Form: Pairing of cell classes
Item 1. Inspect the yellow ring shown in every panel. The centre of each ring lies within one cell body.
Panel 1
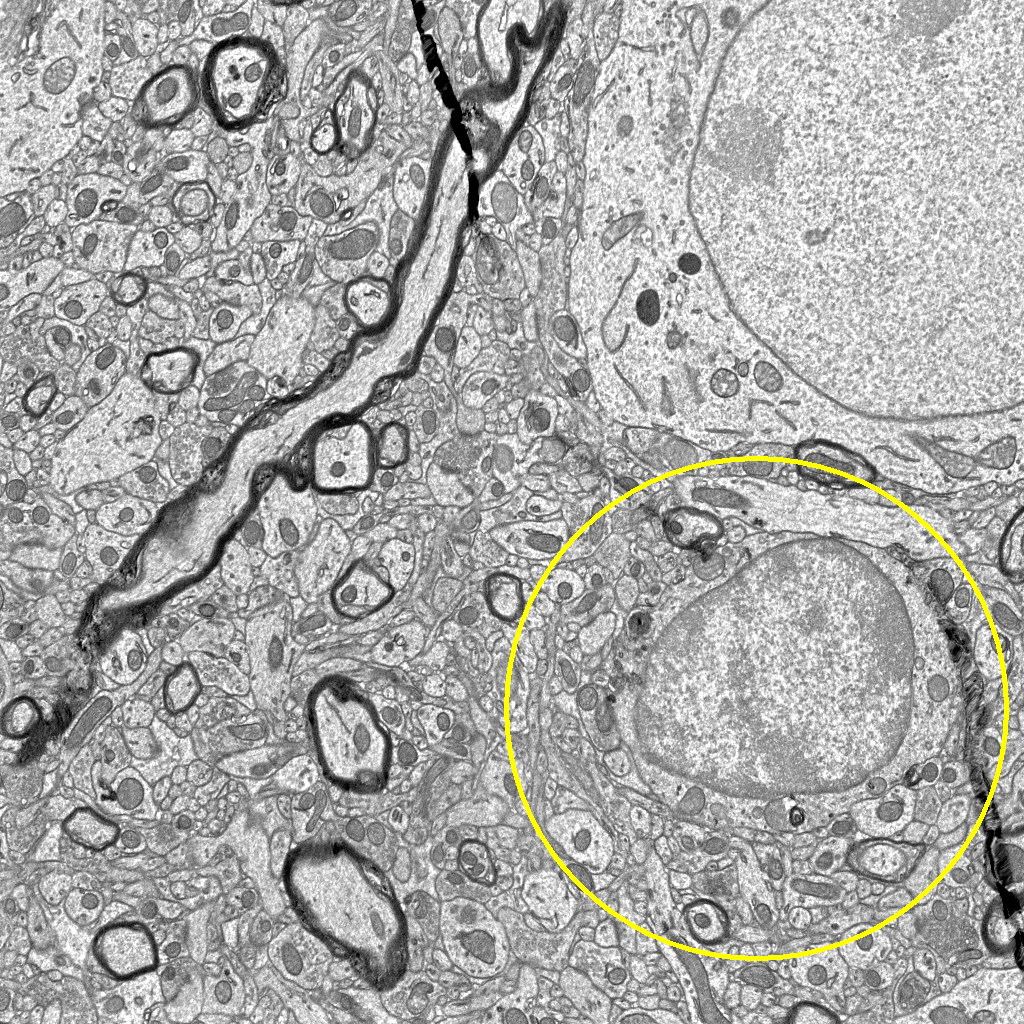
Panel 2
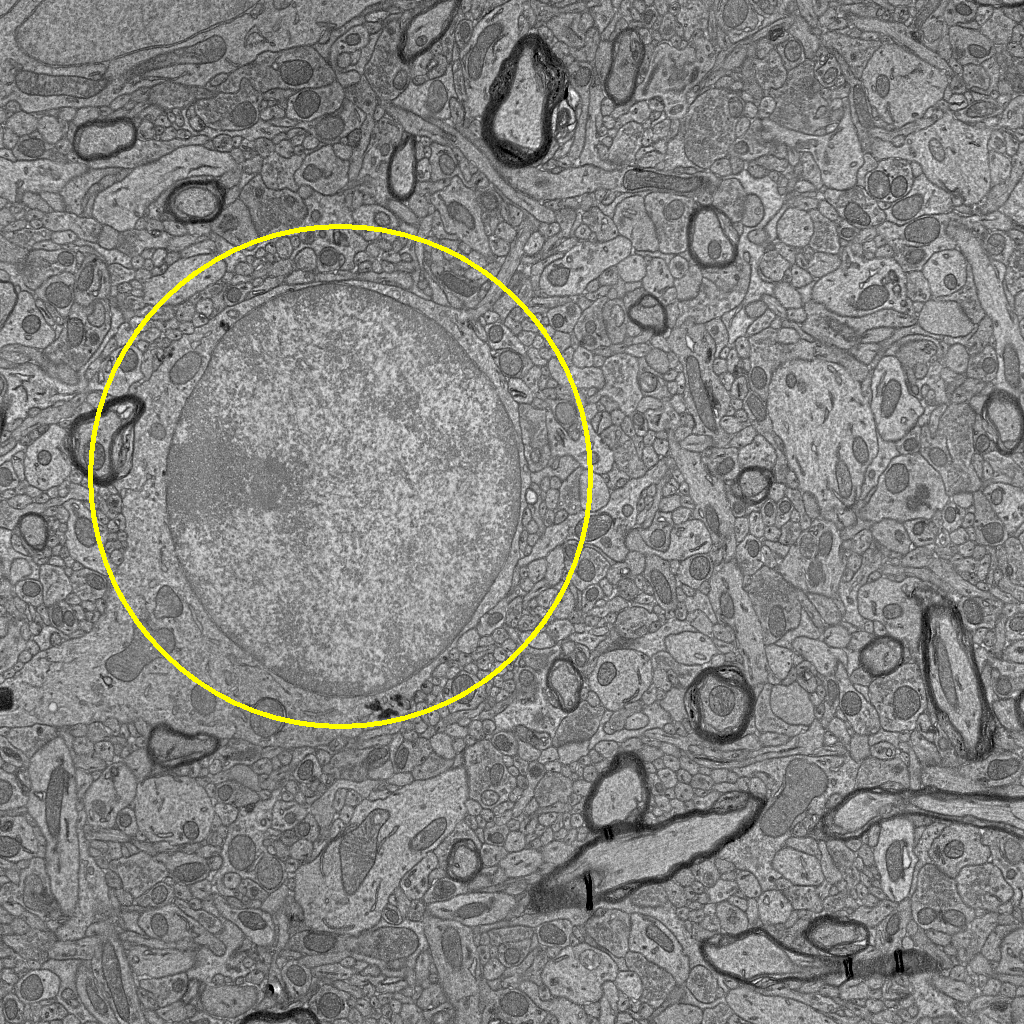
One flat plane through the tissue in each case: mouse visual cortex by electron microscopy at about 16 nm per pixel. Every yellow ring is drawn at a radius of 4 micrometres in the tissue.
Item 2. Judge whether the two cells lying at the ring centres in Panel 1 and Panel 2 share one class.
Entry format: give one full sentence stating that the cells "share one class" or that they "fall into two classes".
The cells at the ring centres in Panel 1 and Panel 2 share one class.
